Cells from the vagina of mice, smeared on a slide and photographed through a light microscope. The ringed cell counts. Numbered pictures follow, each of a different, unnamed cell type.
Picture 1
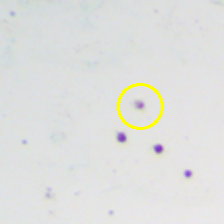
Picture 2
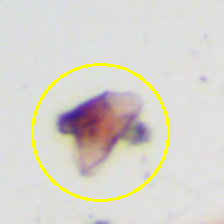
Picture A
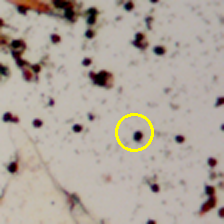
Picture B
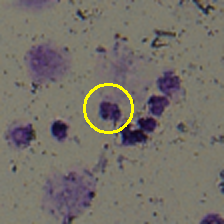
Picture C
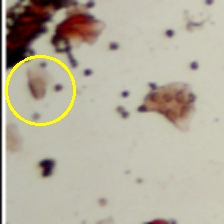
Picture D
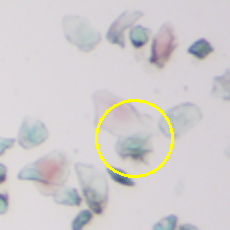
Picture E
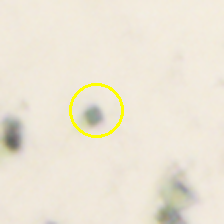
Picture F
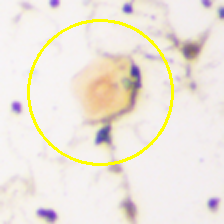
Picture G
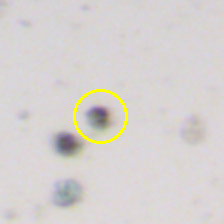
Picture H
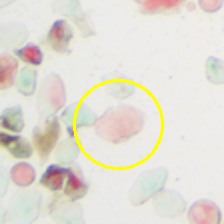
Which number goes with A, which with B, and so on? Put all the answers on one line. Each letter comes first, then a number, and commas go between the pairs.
A 1, B 1, C 2, D 2, E 1, F 2, G 1, H 2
